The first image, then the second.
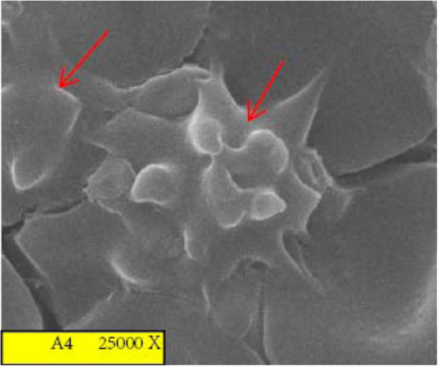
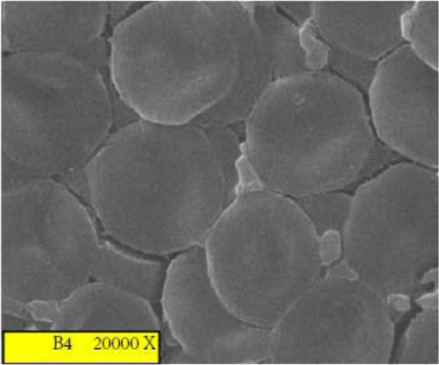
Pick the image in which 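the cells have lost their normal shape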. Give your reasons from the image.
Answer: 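Second image: cells are regular round smooth discs packed side by side. First image: a central cell is crumpled with pointed spiky projections among flattened cells.
Conclusion: the first image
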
